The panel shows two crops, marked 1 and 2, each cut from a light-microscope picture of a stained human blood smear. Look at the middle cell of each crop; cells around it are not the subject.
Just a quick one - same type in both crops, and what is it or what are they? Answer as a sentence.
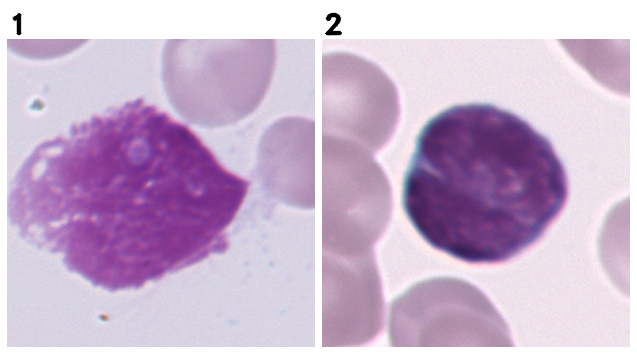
No, crop 2 holds a typical lymphocyte, while crop 1 holds a smudge cell.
